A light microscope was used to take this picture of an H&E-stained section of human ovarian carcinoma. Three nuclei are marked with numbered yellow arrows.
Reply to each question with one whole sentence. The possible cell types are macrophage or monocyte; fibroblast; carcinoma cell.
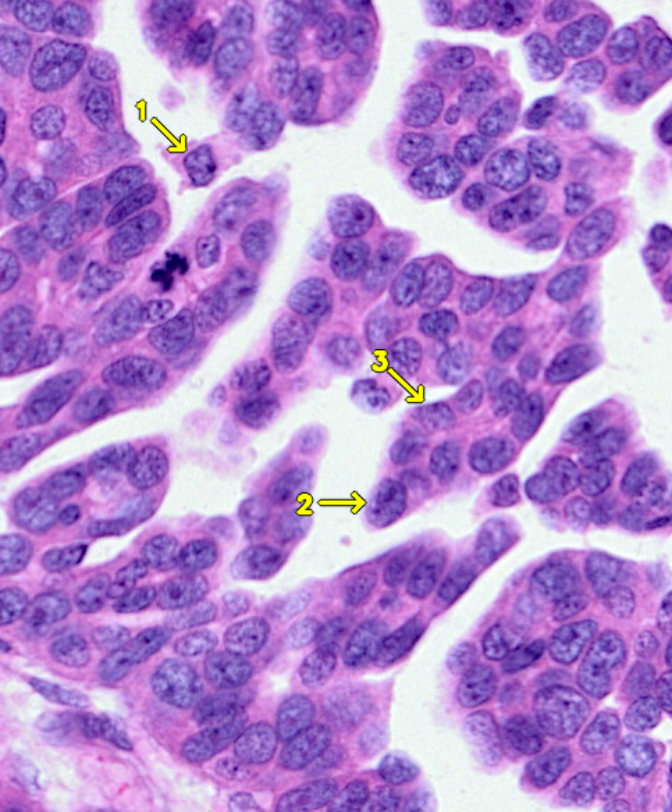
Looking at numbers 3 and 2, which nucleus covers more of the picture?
Nucleus 2 is larger, with an area about 1.5 times that of nucleus 3.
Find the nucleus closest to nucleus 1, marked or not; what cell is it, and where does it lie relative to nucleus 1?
The closest nucleus belongs to a carcinoma cell and sits below and to the right of nucleus 1.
